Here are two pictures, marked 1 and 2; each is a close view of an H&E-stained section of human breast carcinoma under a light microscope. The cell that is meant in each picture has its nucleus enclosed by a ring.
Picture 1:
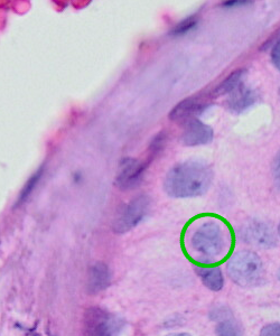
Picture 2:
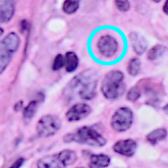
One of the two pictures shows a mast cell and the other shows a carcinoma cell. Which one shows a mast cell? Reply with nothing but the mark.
2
